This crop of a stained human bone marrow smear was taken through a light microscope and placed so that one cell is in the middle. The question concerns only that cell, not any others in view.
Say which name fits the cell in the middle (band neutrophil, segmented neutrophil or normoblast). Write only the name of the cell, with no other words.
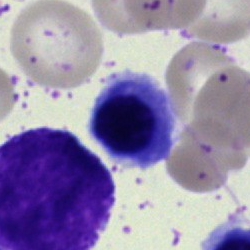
normoblast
